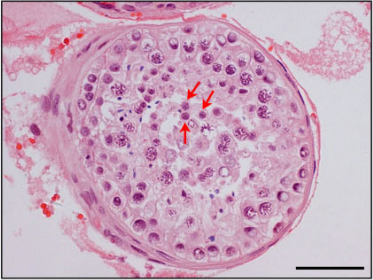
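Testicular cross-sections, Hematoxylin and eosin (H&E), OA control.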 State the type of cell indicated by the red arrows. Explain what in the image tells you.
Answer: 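The arrowed cells are small and round with a round central nucleus. They lie in the inner layers of the tubule near the lumen. They are smaller than the large cells with coarse chromatin further out. The answer: round spermatids.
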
